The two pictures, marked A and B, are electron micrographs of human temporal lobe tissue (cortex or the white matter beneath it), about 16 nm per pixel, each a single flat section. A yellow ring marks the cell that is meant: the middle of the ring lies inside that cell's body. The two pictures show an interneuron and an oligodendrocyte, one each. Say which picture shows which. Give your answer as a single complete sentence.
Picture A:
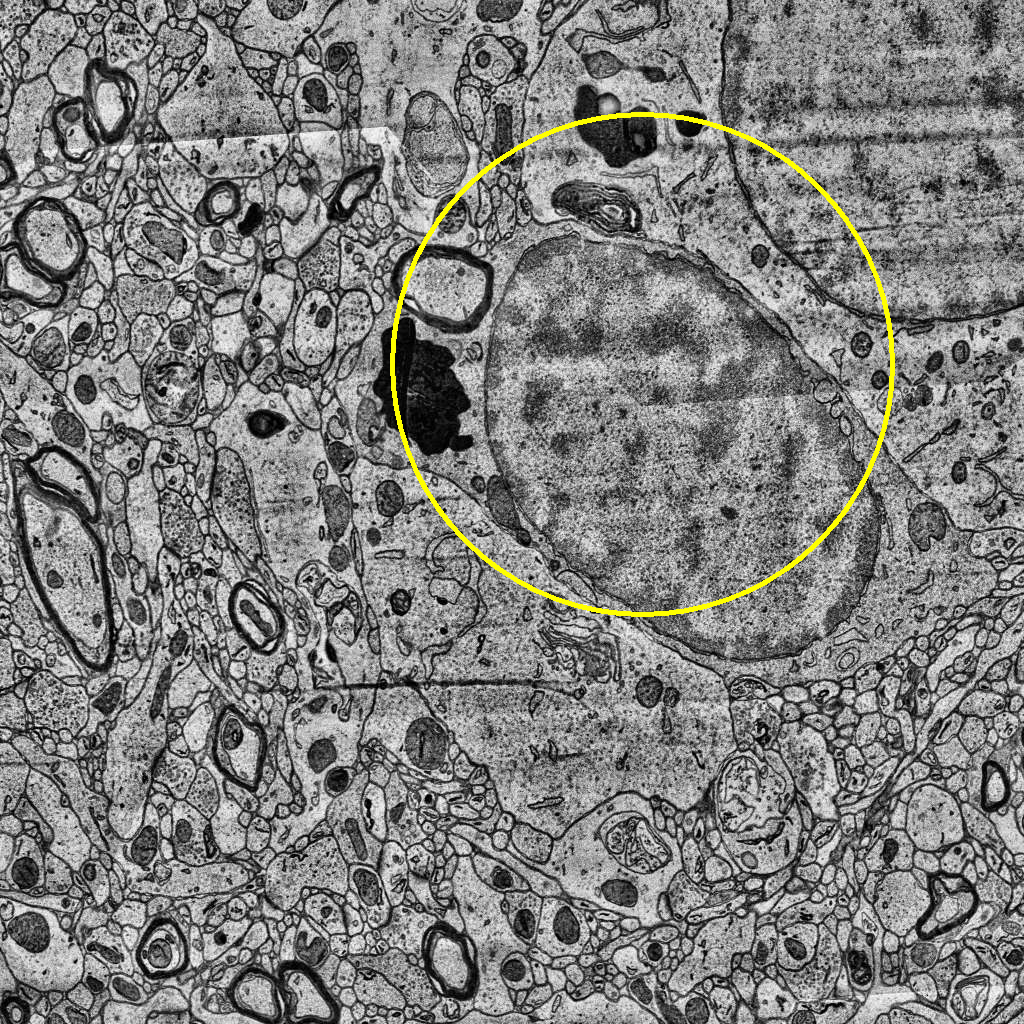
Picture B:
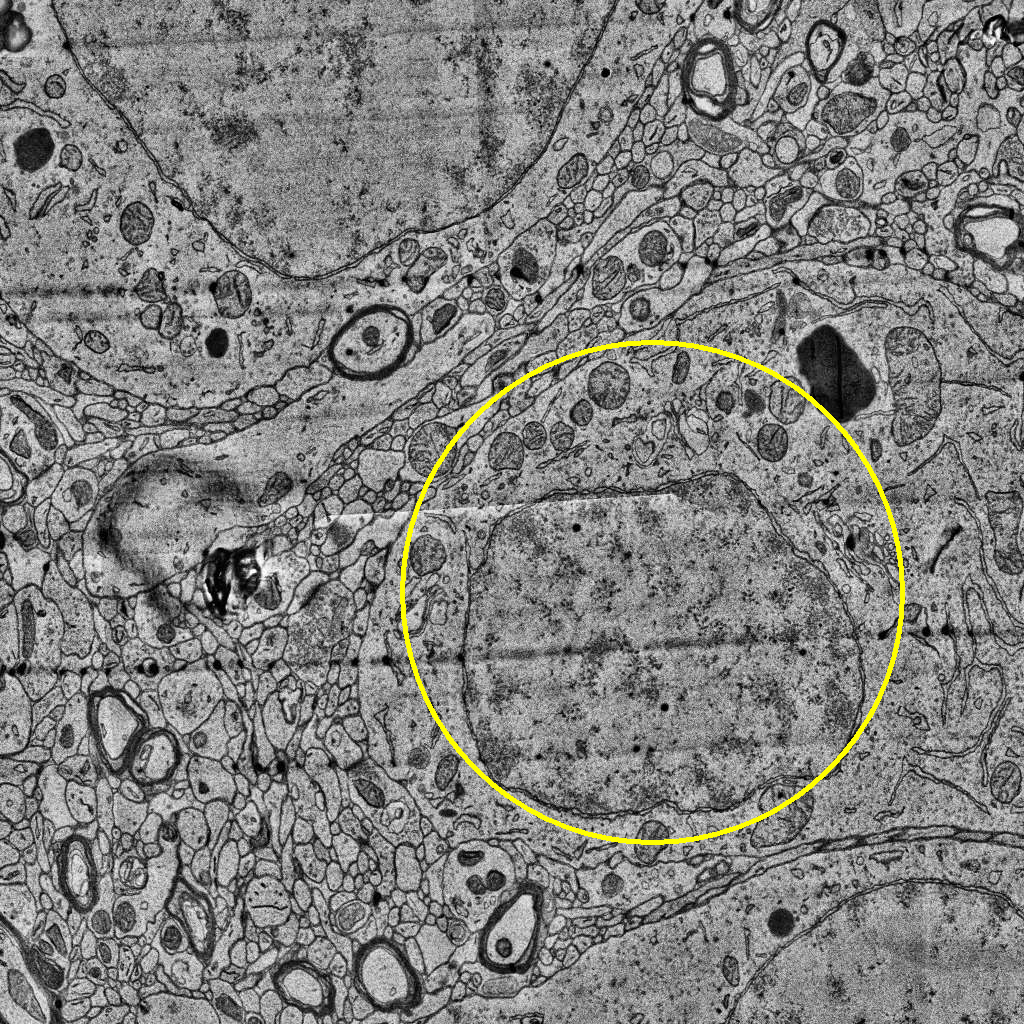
Picture B shows an interneuron, while picture A shows an oligodendrocyte.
